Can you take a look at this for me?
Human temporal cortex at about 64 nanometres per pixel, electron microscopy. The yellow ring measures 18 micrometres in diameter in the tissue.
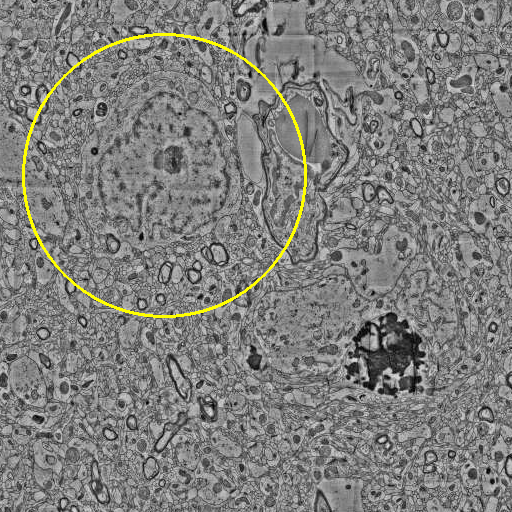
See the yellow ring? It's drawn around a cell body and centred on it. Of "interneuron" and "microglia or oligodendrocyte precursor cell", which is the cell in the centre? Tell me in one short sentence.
The one in the centre is an interneuron.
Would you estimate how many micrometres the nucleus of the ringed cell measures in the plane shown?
About 9 micrometers across, in this plane.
